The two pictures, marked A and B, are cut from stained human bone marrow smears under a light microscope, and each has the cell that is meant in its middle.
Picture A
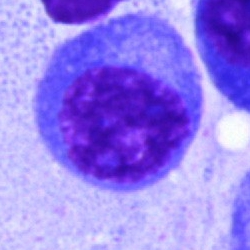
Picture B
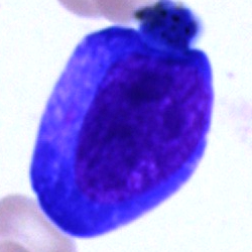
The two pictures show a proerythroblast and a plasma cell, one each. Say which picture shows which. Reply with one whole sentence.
Picture A is of a plasma cell, and picture B is of a proerythroblast.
